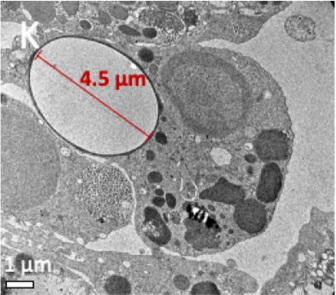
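The particle is bordered by a thin dark rim and takes up a large part of the cell, lying beside the nucleus. The remaining cytoplasm contains scattered electron-dense granules of various sizes.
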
